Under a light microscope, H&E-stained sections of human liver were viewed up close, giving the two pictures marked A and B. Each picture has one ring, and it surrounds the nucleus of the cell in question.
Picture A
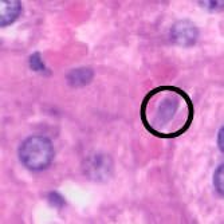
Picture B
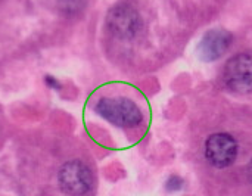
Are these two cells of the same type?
yes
